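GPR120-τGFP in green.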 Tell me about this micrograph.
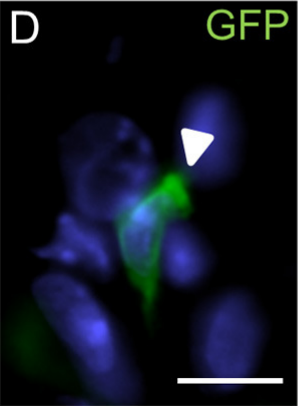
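A single pear-shaped epithelial cell stands out in green among unlabelled cells whose round and oval nuclei show blue. Its body is broad below, with a nucleus inside, and it tapers upward into a narrow, brighter tip that pokes between neighbouring nuclei; a thin tail extends downward. The narrow thickened tip at the apical end and the pear shape are what mark this cell out from its plainer neighbours, a form typical of brush cells.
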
